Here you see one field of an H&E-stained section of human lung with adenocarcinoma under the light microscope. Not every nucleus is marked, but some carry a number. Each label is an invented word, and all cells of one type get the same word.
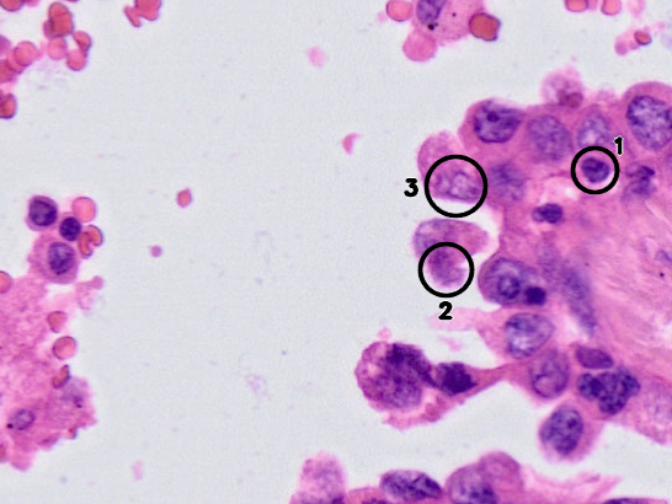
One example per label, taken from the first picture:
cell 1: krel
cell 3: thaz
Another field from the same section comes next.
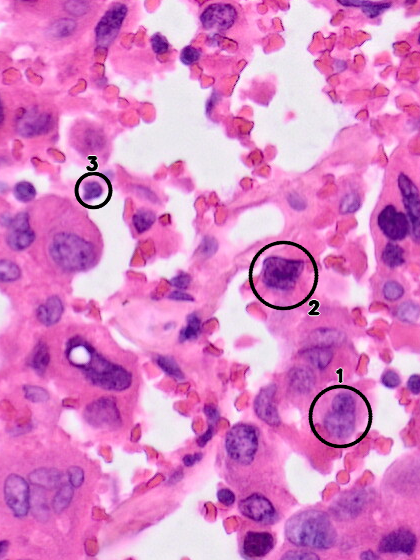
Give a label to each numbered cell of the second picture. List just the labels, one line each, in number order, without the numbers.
thaz
thaz
krel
